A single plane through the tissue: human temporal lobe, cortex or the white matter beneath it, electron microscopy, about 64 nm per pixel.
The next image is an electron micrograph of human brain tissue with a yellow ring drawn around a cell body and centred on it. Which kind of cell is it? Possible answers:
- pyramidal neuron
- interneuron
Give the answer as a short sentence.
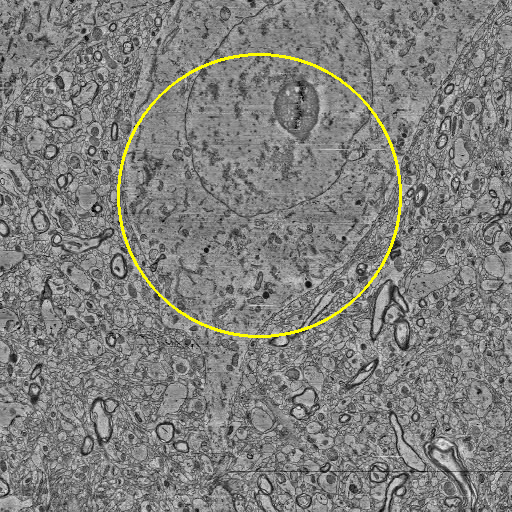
In the ring's centre is a pyramidal neuron.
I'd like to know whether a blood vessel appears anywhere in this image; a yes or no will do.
No, a blood vessel is absent from this picture.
